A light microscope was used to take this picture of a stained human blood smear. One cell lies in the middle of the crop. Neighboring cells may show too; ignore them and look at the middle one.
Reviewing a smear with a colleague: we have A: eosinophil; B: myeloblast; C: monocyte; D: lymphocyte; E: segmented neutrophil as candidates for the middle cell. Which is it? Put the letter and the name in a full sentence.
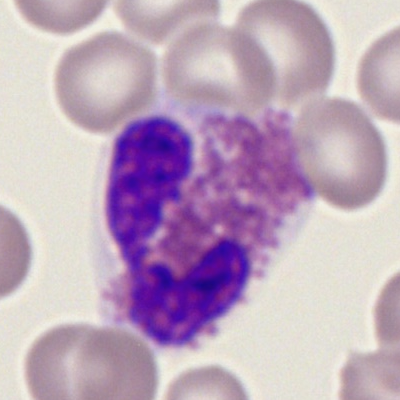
Here the right option is A, as the cell in the middle is an eosinophil.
